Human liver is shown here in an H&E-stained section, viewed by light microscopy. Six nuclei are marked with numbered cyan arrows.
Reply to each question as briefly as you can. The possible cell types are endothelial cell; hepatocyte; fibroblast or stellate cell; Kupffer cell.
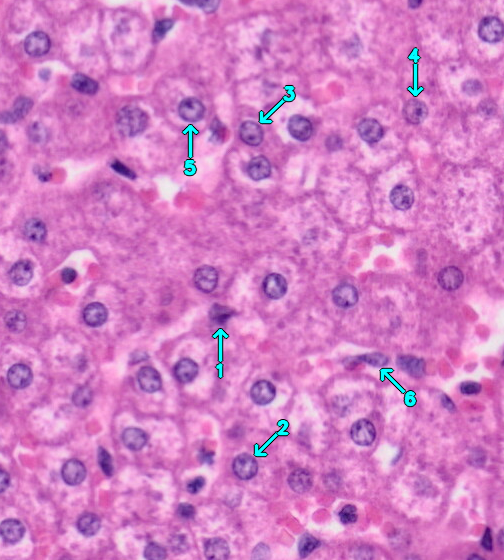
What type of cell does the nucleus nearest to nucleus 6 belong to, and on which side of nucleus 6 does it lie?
a Kupffer cell, to the left of nucleus 6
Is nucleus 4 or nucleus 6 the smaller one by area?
6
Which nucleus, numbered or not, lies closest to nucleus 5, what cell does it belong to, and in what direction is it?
an endothelial cell; below and to the right of nucleus 5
